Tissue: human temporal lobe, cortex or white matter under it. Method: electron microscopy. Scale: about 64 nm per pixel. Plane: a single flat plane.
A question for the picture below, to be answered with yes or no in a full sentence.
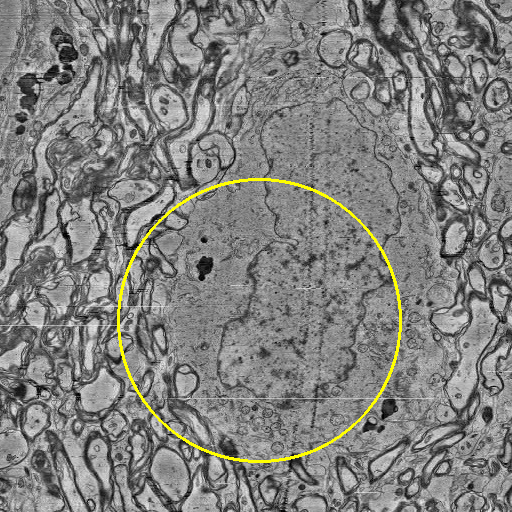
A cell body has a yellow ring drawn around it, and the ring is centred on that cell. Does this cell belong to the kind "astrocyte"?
No, the pictured cell at the ring's centre belongs to another kind.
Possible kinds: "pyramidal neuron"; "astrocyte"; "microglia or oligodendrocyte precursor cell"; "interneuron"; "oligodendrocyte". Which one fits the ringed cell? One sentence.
The cell ringed in the picture is a pyramidal neuron.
